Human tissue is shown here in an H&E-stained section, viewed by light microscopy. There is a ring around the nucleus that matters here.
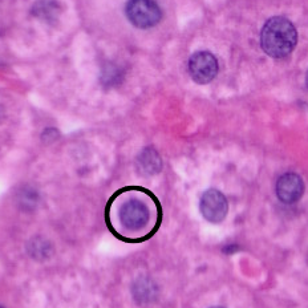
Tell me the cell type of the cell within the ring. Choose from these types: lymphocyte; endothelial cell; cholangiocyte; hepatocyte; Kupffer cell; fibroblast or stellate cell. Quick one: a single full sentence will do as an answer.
The correct response here is that the cell within the ring is a hepatocyte.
